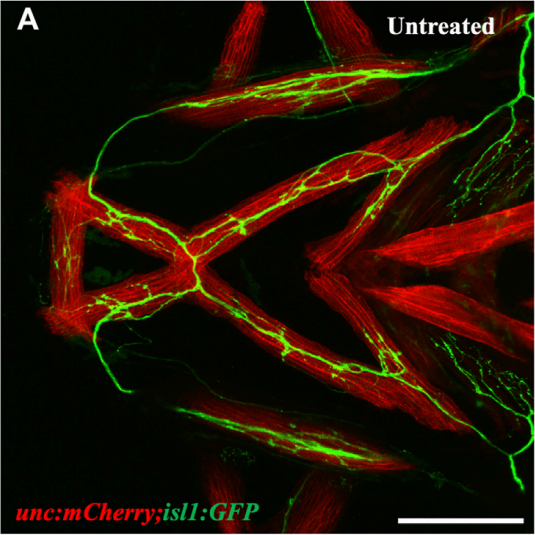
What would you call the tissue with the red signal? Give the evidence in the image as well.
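Red bands are made of parallel fine striated fibres. The red bands form paired, symmetric strap-like blocks. The answer: muscles.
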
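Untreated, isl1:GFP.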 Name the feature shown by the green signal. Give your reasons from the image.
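Thin green branching fibres run along and across the red bands. The green fibres branch into fine terminal arbors on the red bands.
Answer: motor nerves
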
